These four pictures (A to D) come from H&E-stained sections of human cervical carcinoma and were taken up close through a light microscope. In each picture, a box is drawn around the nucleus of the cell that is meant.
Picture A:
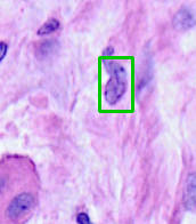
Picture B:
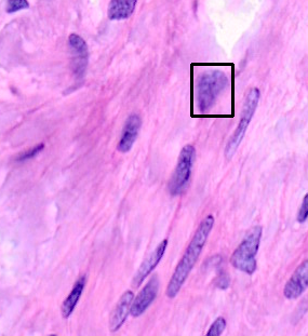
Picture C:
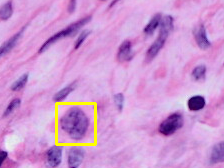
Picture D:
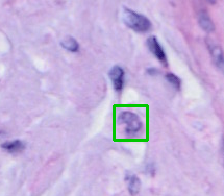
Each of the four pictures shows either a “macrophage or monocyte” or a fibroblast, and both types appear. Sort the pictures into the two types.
A: macrophage or monocyte
B: fibroblast
C: macrophage or monocyte
D: macrophage or monocyte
